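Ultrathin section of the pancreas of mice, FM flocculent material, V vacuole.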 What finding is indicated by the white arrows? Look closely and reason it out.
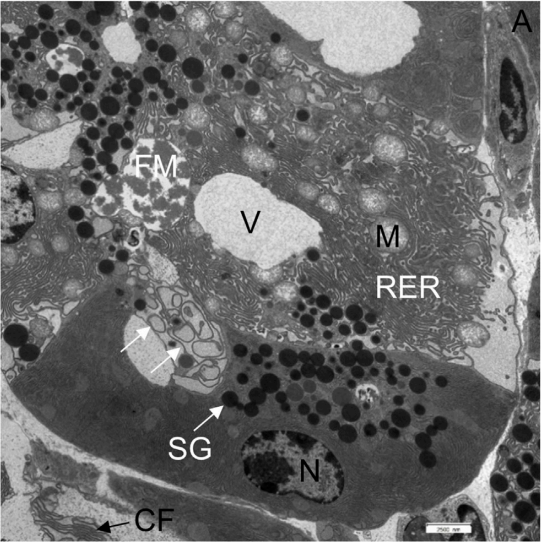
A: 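The arrows point to looping, irregular membrane profiles around a pale area. The membranes form loose swirls unlike the parallel cisternae elsewhere. The answer: Disorganized membranes.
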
